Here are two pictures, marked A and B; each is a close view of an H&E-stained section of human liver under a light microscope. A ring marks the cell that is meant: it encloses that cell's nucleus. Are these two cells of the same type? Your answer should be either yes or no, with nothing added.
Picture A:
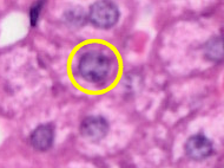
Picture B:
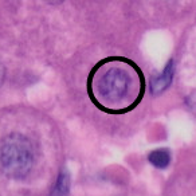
yes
